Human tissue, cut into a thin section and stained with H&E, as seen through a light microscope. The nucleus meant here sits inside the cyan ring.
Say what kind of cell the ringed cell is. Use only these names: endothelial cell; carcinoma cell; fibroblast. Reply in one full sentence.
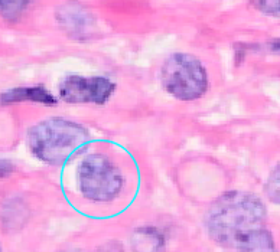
In this tissue section, the ringed cell is to be classed as a carcinoma cell.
